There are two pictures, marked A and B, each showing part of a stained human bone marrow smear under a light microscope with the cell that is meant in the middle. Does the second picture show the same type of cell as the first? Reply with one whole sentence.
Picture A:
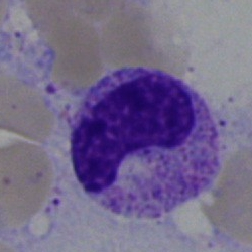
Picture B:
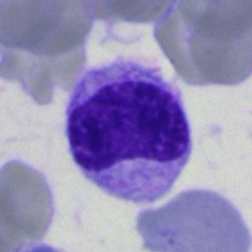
Yes; the cells in both pictures are metamyelocytes.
